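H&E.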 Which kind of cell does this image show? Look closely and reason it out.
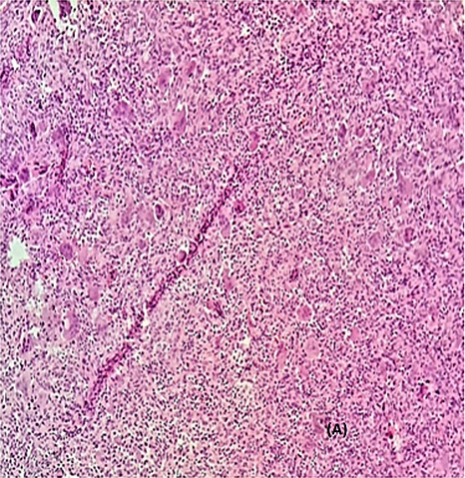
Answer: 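Scattered large pink cells stand out against a dense background of small dark nuclei.
Answer: multinucleated giant cells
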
